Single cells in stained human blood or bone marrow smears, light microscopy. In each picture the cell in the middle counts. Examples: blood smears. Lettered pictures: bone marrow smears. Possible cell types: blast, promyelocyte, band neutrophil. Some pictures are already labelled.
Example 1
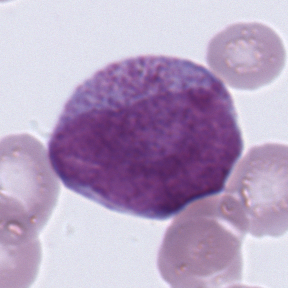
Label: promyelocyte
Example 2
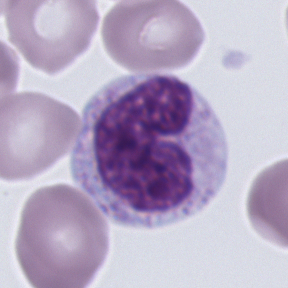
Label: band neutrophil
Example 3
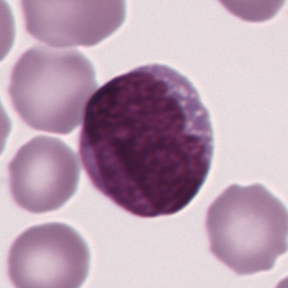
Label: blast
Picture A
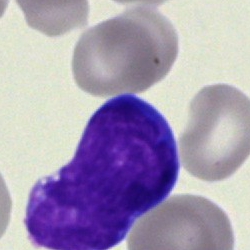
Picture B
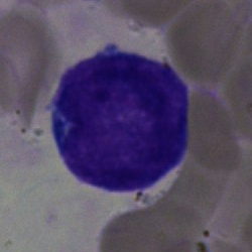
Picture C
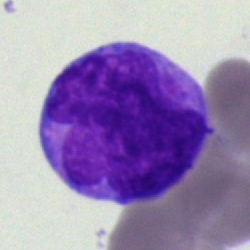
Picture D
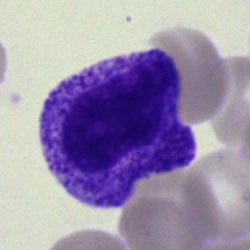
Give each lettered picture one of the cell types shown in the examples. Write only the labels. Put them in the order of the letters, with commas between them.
blast, blast, blast, promyelocyte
